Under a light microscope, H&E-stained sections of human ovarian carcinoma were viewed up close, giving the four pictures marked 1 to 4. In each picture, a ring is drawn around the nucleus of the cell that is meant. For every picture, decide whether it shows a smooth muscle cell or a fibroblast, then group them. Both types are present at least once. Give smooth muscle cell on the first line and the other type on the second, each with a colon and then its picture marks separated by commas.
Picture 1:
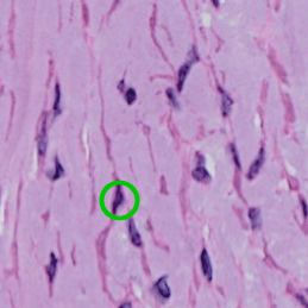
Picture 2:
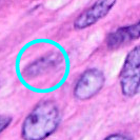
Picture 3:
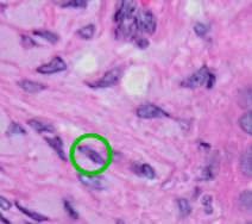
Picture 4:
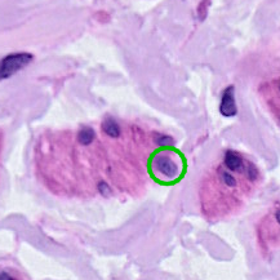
smooth muscle cell: 4
fibroblast: 1, 2, 3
